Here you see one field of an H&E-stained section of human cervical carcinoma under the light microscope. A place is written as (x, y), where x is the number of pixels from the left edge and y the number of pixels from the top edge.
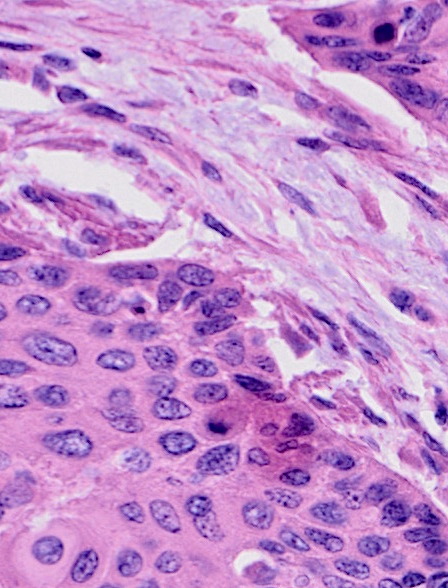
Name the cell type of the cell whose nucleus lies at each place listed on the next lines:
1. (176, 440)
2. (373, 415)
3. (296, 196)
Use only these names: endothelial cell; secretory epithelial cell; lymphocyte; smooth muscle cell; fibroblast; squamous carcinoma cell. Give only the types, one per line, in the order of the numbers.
squamous carcinoma cell
fibroblast
fibroblast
